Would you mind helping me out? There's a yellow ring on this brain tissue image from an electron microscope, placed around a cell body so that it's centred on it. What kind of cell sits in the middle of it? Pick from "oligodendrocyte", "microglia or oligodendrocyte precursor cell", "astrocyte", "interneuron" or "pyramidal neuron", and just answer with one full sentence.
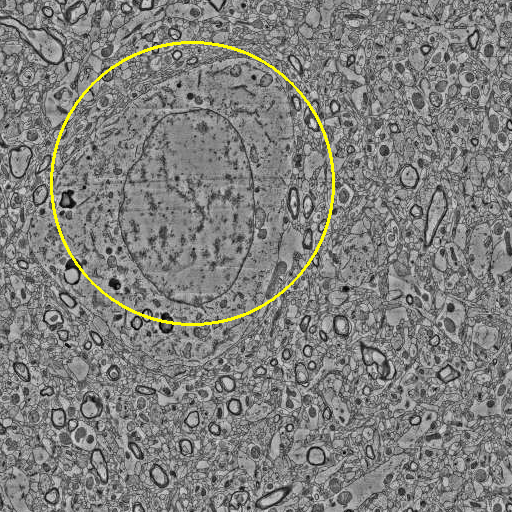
What sits in the middle of that yellow ring is a pyramidal neuron, from your choices.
